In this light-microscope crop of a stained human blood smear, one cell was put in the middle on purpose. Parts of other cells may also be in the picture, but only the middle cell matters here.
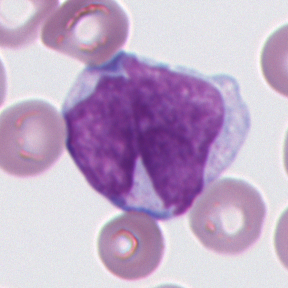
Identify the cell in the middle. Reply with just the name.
atypical promyelocyte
